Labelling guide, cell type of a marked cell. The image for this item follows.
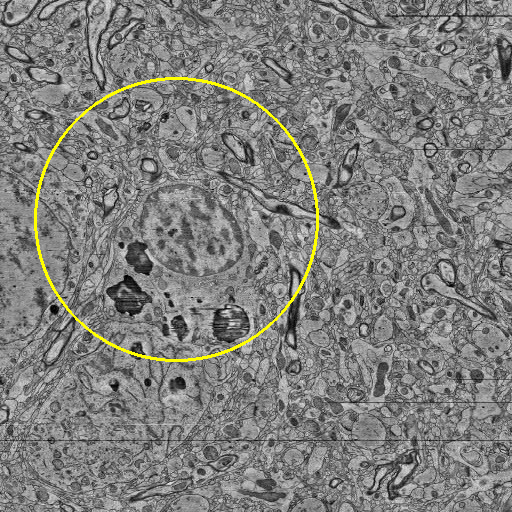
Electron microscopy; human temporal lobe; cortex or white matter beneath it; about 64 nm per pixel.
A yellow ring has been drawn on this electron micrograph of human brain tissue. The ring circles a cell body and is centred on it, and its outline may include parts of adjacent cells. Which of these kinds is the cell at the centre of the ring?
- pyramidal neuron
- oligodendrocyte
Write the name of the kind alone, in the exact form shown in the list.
oligodendrocyte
